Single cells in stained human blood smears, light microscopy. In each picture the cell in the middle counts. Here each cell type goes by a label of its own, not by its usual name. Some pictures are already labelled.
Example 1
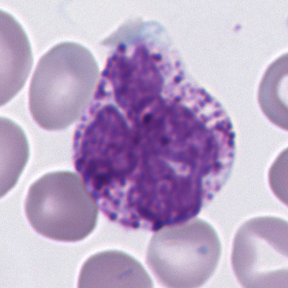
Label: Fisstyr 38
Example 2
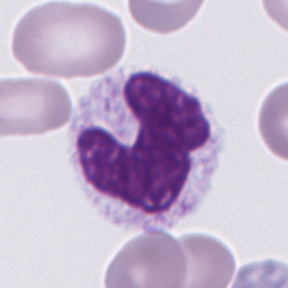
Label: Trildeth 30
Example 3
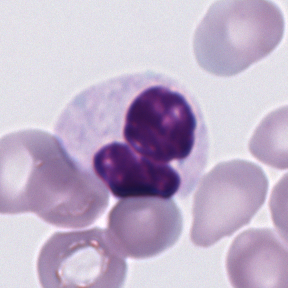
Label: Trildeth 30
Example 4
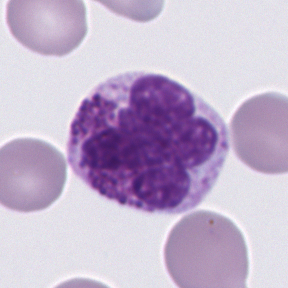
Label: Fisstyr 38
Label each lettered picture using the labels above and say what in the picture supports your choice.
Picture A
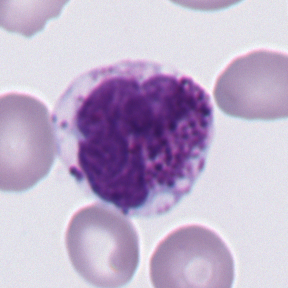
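Fisstyr 38. Reason: Coarse dark purple granules lie thickly over the right part of the nucleus.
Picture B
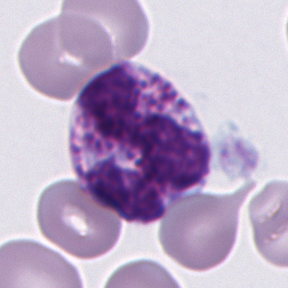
Fisstyr 38. Reason: Coarse dark purple granules are scattered through the cell.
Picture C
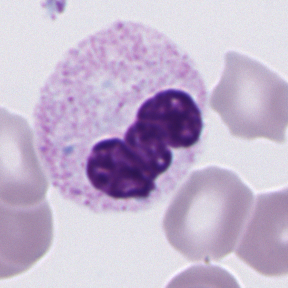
Trildeth 30. Reason: Fine pink-violet granules are scattered through the whole cytoplasm.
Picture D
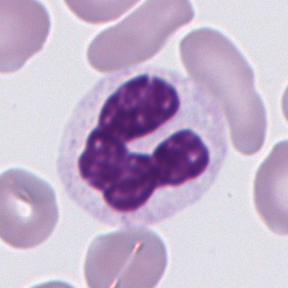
Trildeth 30. Reason: The cytoplasm holds fine, faint lilac granules.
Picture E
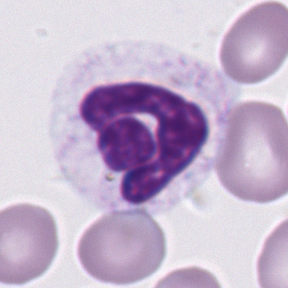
Trildeth 30. Reason: The cytoplasm is plentiful and very pale lilac.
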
